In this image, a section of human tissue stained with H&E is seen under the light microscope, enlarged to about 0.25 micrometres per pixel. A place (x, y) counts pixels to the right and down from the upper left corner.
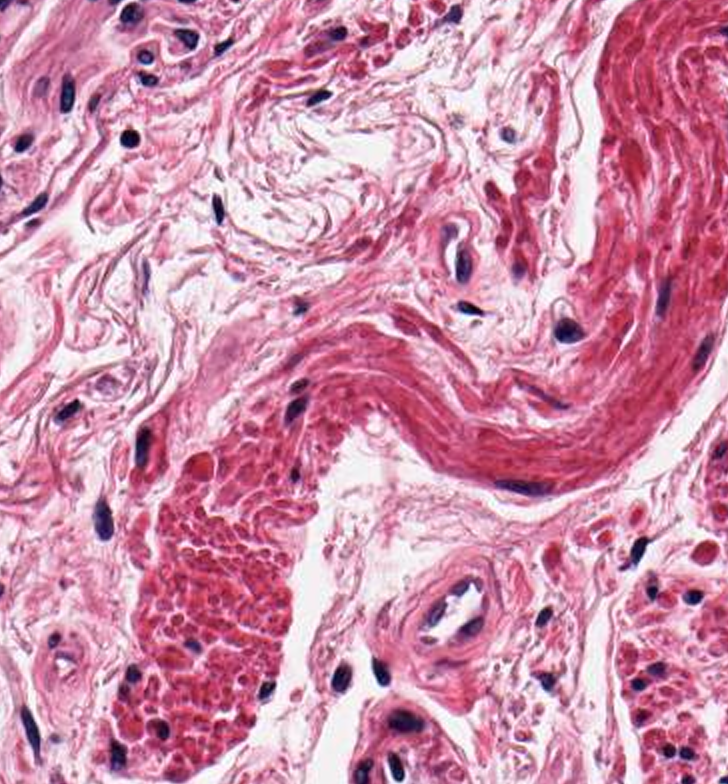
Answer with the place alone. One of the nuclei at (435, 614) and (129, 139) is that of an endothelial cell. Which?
(435, 614)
